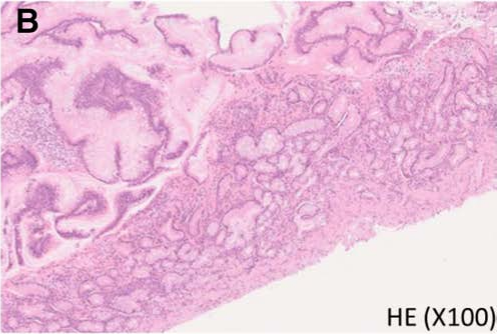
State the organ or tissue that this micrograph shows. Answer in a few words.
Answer: columnar epithelium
